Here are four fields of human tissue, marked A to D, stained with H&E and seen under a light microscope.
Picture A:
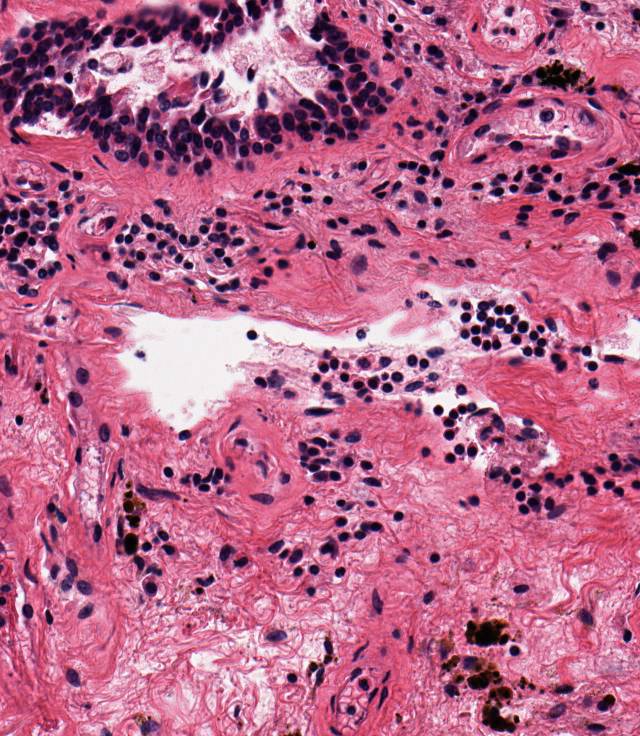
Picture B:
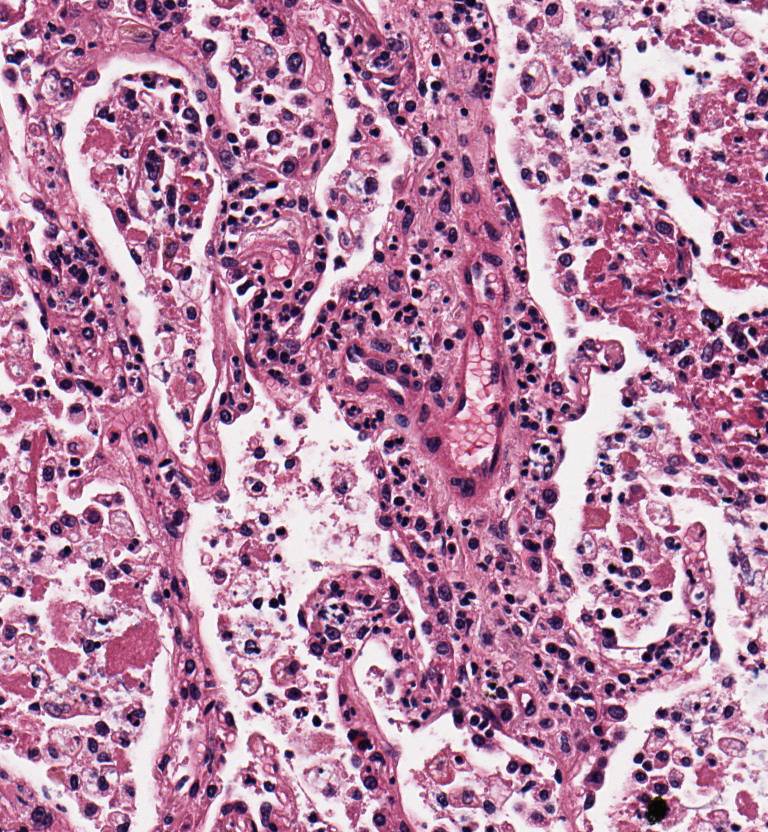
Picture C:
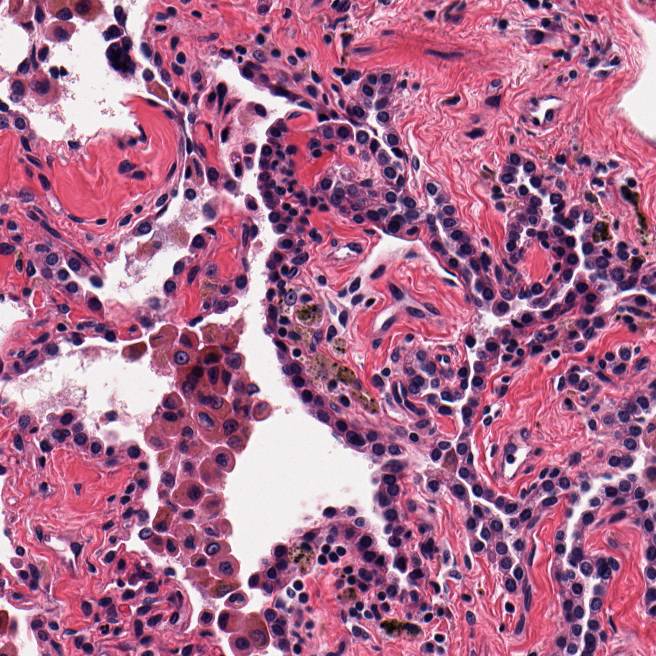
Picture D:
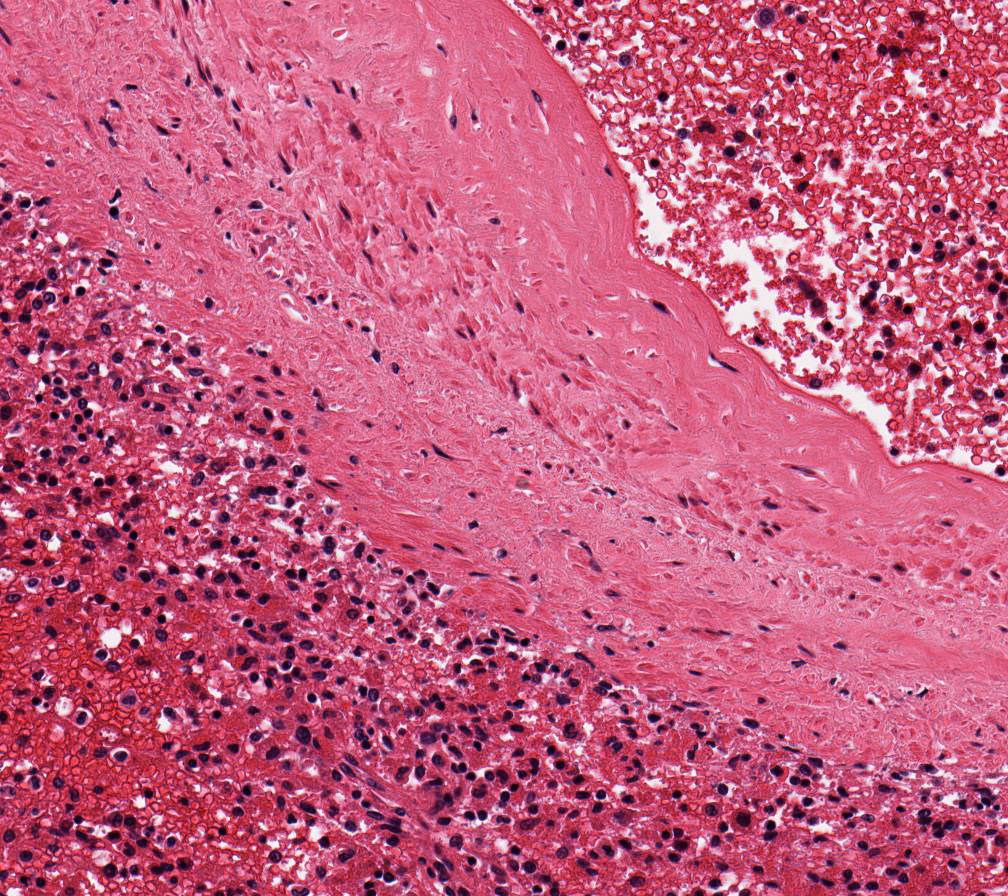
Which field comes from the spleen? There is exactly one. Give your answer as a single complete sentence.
Picture D is the field that comes from the spleen.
